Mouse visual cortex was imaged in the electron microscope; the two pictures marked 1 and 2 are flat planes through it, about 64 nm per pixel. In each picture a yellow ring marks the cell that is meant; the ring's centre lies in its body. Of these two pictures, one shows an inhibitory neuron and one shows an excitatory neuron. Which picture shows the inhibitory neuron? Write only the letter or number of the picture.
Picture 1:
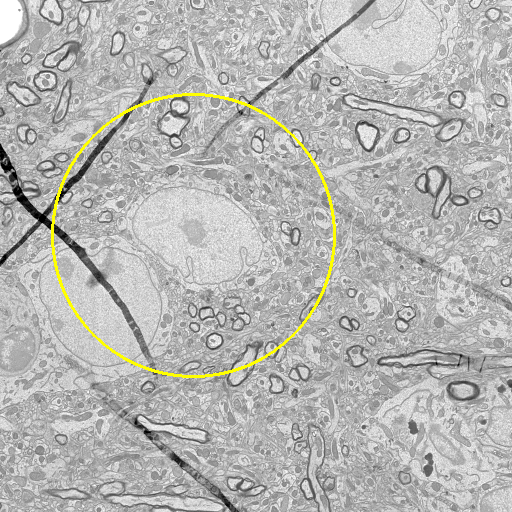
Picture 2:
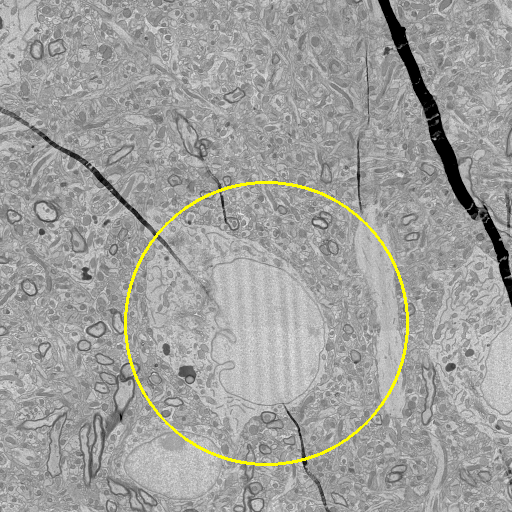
1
